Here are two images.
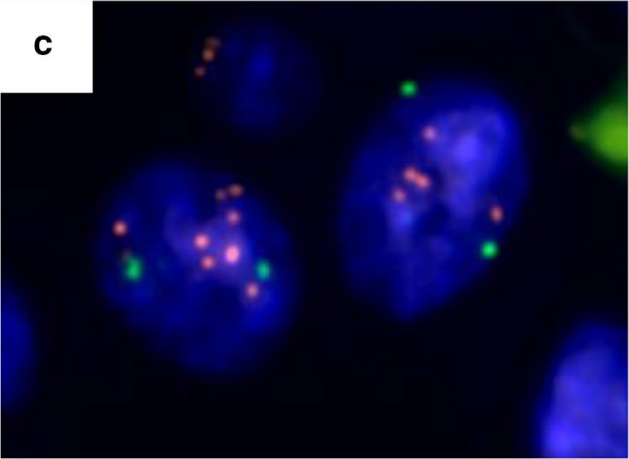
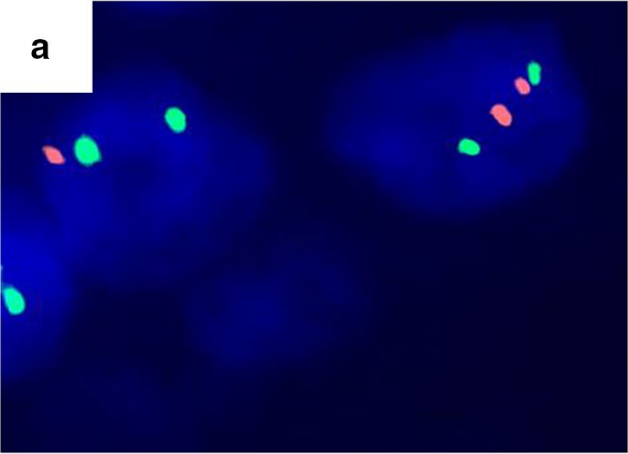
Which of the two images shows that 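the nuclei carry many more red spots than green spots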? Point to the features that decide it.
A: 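First image: nuclei contain clusters of several red spots and only two green spots. Second image: nuclei contain at most two red spots, no more than the green spots.
The first image.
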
